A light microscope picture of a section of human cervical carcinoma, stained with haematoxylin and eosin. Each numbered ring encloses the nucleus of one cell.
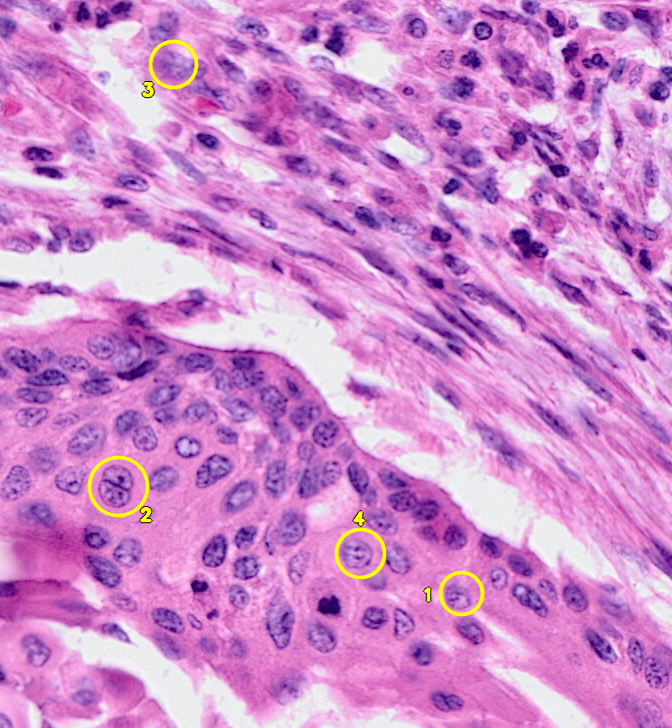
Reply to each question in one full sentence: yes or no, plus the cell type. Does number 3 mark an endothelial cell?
Yes, what number 3 marks is an endothelial cell.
